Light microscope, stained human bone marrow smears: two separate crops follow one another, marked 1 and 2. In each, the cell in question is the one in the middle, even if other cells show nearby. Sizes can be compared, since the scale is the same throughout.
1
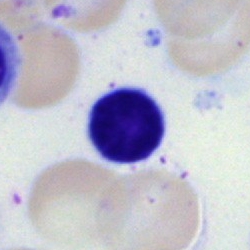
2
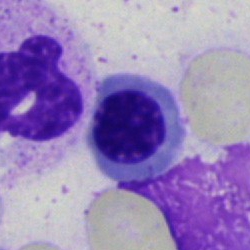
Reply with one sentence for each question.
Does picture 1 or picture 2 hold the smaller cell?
The cell in picture 1 is smaller; the one in picture 2 has about 1.5 times its area.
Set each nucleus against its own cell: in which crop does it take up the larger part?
In picture 1 the nucleus takes up the larger part of its cell.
